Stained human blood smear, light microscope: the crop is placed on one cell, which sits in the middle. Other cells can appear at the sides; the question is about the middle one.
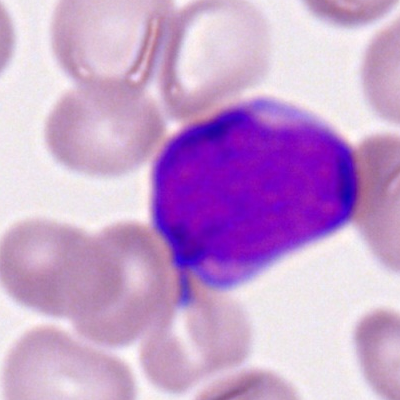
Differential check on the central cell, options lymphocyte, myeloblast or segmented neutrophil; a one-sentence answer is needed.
Classification of the middle cell gives a myeloblast.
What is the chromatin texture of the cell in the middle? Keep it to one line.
The chromatin remains finely textured, with no coarse clumps to speak of.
